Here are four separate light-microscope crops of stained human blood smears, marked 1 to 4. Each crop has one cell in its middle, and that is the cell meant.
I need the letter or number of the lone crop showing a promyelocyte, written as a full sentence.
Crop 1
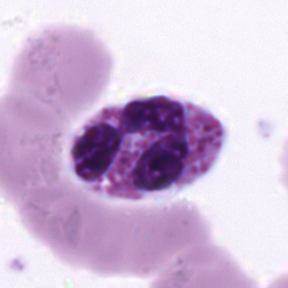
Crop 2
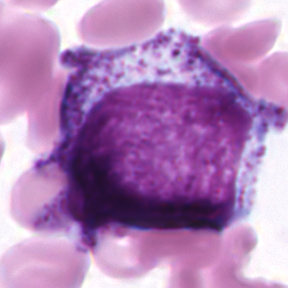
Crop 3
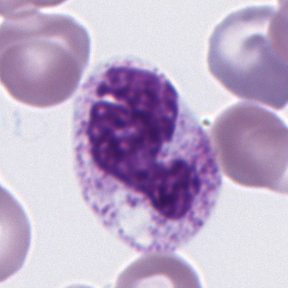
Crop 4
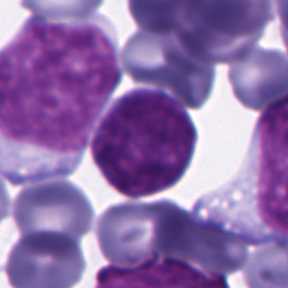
The crop that has a promyelocyte in the middle is crop 2.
